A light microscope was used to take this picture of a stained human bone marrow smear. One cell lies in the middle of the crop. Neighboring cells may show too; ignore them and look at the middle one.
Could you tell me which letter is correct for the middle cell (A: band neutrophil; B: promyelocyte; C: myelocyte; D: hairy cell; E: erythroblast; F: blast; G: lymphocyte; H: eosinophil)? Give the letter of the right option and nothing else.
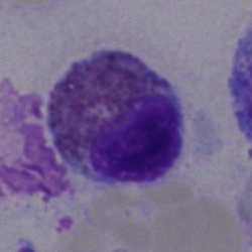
H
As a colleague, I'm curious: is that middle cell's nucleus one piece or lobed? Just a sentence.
Between us, the nucleus here is just one compact mass, round, oval or kidney-shaped.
